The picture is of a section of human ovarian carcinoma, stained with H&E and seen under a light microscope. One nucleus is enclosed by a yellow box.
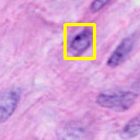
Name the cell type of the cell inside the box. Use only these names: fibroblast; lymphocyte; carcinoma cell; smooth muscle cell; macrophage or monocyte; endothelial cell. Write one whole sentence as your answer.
The cell inside the box appears to be a fibroblast.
